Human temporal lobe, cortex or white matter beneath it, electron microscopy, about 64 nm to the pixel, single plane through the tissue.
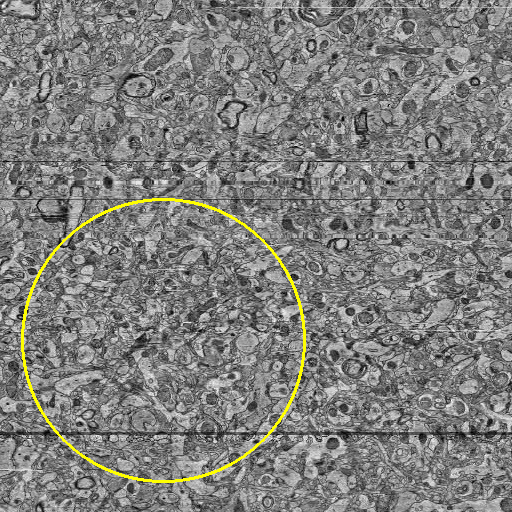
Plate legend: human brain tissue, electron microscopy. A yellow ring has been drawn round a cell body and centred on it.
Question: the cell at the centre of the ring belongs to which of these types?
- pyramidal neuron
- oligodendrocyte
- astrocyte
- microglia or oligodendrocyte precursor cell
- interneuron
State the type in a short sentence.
The cell in the middle of the ring is a microglial cell or oligodendrocyte precursor cell.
